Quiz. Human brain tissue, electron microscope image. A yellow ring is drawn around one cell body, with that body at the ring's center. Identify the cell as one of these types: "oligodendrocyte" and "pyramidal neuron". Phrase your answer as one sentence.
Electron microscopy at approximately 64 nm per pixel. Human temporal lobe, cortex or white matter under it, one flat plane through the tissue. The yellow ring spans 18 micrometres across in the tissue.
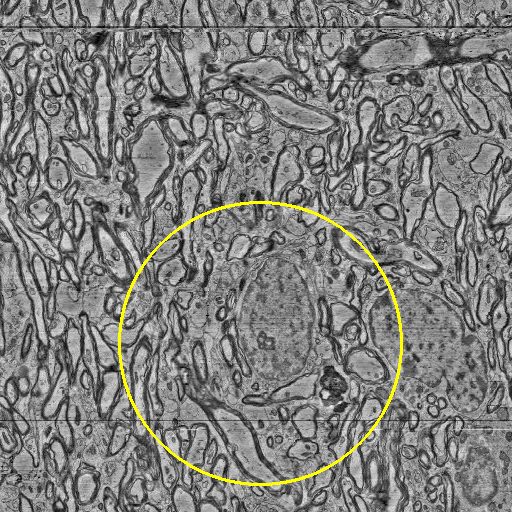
At the center of the ring sits an oligodendrocyte.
